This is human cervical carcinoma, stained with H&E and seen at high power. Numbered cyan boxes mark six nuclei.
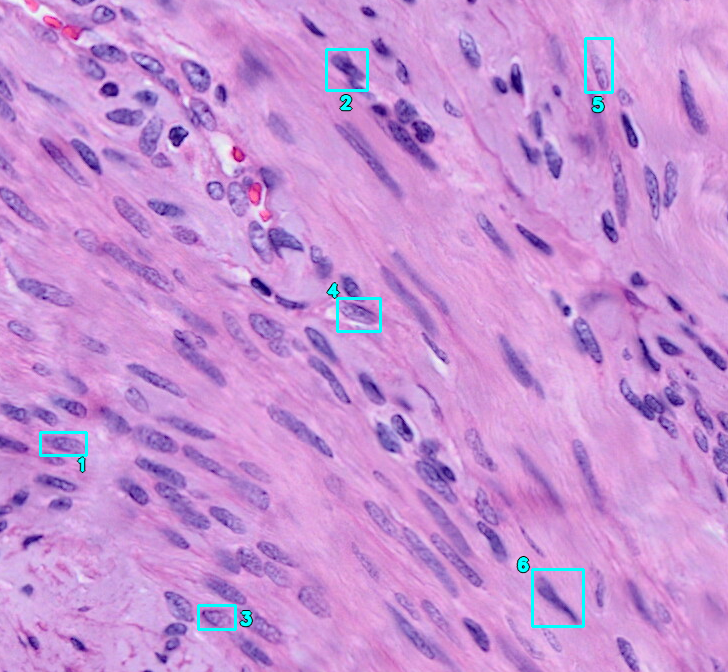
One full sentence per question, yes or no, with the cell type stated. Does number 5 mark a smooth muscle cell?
Yes, looking at number 5, that cell is a smooth muscle cell.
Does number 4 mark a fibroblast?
No, cell 4 is not a fibroblast; it is an endothelial cell.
